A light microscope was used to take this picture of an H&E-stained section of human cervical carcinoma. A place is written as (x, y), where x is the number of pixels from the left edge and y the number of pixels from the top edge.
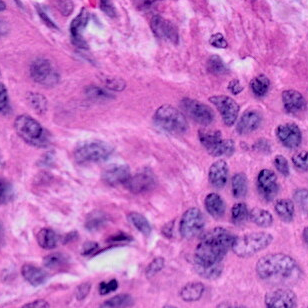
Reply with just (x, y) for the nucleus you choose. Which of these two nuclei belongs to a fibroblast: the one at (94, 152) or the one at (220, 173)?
(94, 152)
